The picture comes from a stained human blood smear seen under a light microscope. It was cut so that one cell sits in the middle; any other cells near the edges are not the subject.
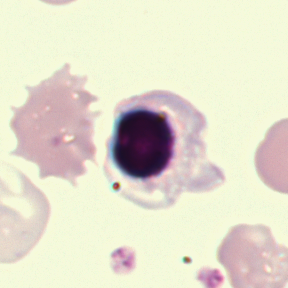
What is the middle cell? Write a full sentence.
In this smear crop, the middle cell is an erythroblast.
